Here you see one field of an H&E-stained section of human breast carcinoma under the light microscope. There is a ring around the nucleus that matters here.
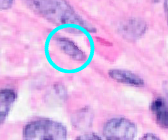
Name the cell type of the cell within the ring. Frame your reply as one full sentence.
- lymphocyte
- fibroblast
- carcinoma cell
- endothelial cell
The cell type of the cell within the ring is that of an endothelial cell.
